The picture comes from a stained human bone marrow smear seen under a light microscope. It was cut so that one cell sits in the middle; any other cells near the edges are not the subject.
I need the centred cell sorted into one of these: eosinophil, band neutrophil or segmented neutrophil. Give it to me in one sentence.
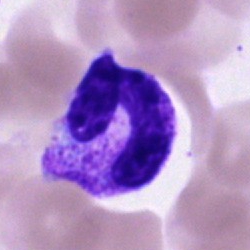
Framed in the middle of the crop is a band neutrophil.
